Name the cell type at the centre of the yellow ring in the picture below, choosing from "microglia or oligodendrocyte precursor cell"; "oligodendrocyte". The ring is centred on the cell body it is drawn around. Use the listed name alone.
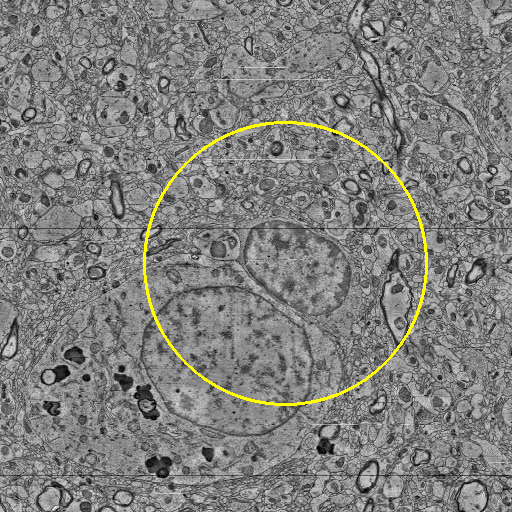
oligodendrocyte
